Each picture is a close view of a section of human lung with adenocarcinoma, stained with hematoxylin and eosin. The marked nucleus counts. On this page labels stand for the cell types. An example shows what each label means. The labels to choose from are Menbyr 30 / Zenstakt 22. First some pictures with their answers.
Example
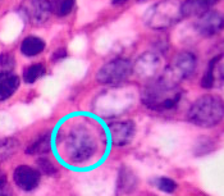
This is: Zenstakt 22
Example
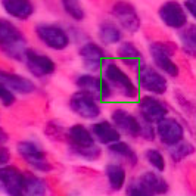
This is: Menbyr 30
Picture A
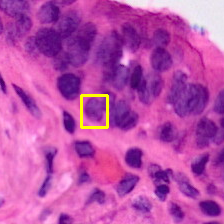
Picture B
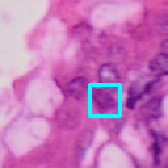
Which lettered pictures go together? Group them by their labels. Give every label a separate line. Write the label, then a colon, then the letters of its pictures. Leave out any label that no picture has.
Zenstakt 22: A, B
